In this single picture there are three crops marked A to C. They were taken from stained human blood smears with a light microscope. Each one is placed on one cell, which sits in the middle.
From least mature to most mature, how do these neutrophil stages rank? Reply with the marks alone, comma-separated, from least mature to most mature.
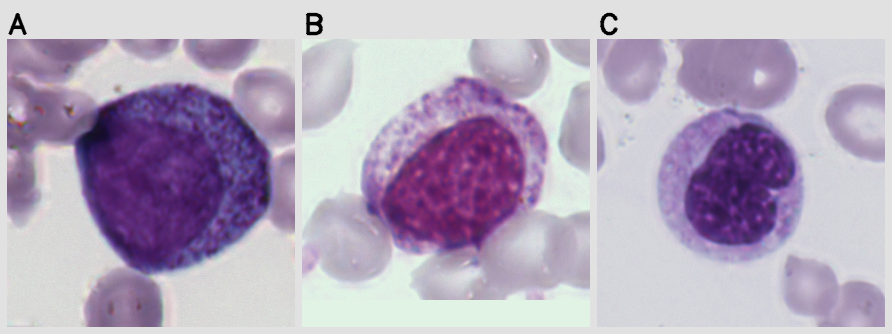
A, B, C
